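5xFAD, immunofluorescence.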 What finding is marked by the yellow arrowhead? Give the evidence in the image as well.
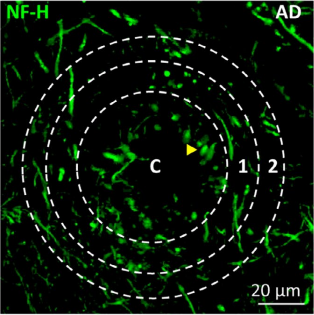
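The arrowhead points to a bulbous green swelling. Short fragments and round green dots fill the inner circle. So: axonal spheroids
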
